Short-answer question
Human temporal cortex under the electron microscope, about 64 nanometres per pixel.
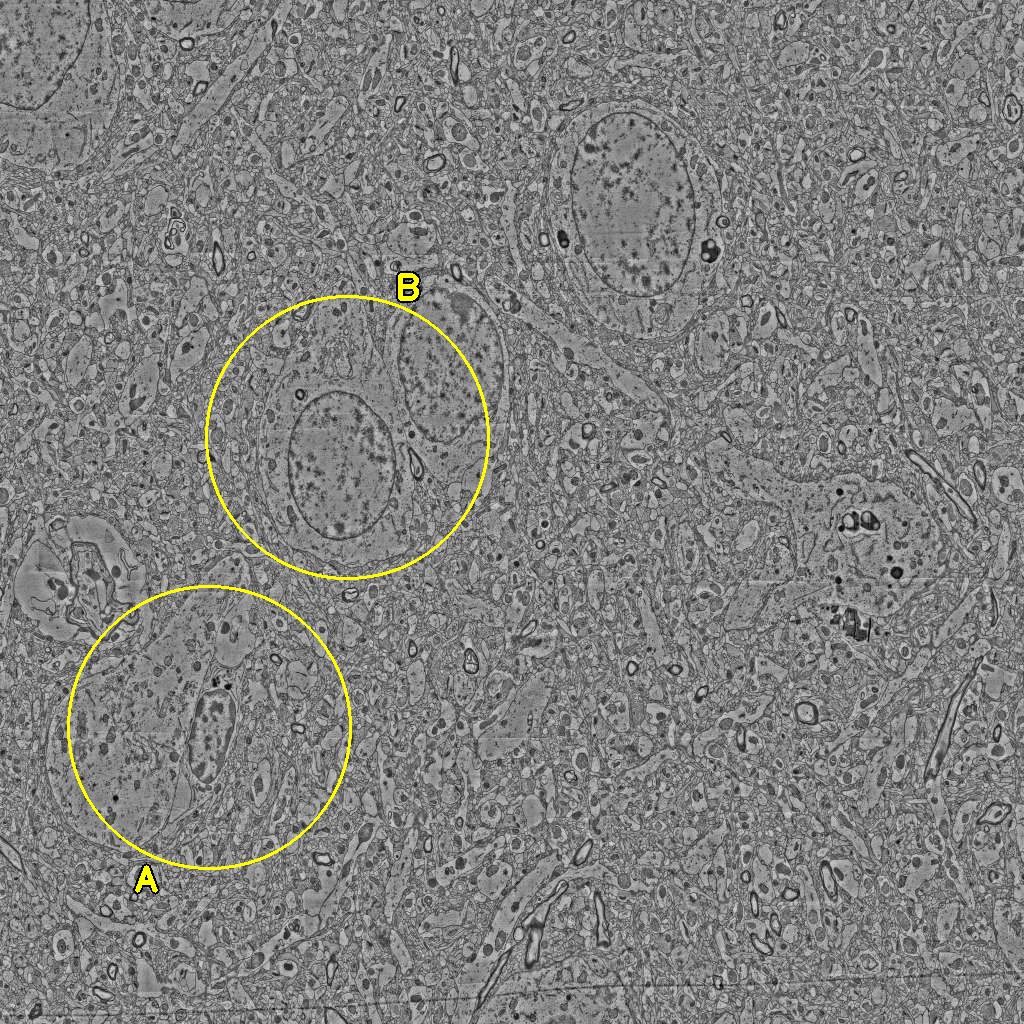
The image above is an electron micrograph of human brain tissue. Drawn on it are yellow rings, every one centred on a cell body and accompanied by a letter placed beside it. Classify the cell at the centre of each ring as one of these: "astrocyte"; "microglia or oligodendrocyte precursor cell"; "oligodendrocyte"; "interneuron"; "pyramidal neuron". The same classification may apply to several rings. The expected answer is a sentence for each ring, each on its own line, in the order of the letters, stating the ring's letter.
The cell at ring A is classified as a microglial cell or oligodendrocyte precursor cell.
The cell at ring B is classified as a pyramidal neuron.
